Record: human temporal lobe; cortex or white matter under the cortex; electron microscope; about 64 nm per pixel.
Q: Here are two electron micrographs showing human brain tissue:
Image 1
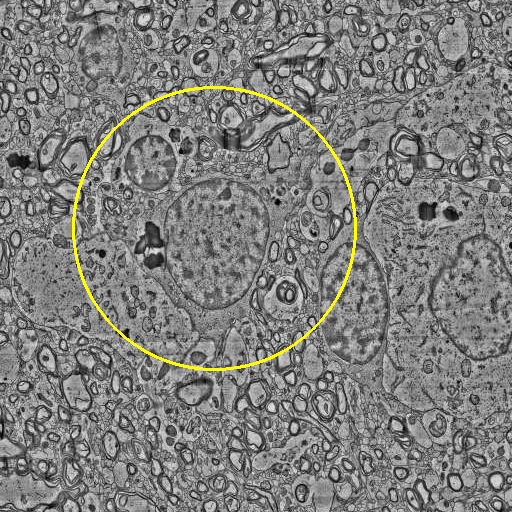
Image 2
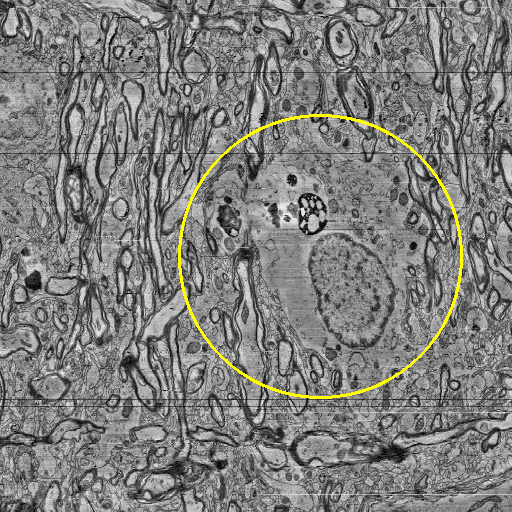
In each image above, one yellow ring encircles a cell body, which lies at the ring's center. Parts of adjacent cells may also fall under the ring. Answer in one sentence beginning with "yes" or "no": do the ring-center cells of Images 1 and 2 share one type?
No, in Images 1 and 2, the ring-center cells are of two types.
